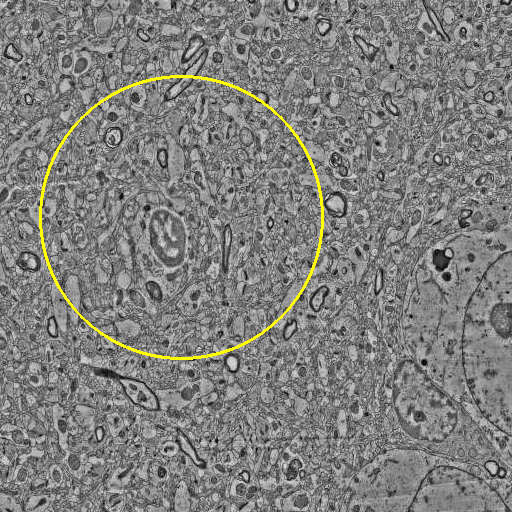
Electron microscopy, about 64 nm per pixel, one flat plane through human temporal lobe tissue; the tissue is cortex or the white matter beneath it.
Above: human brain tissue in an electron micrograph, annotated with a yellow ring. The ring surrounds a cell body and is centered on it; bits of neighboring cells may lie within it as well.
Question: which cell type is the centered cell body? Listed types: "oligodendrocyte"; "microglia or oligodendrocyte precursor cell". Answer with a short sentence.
The centered cell body is a microglial cell or oligodendrocyte precursor cell.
